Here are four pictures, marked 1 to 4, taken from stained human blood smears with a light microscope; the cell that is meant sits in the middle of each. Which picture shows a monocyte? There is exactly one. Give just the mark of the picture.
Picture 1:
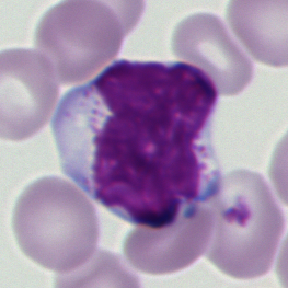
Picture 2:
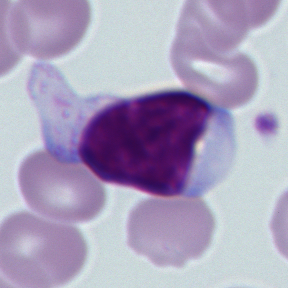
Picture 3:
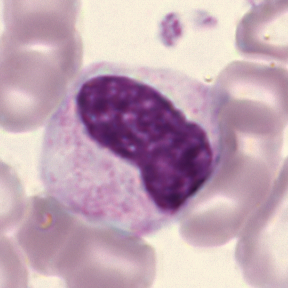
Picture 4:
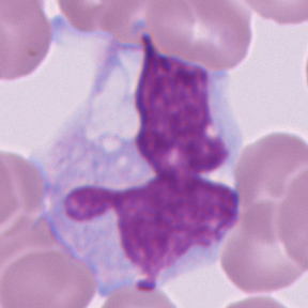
4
